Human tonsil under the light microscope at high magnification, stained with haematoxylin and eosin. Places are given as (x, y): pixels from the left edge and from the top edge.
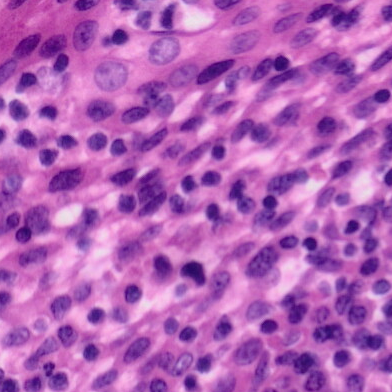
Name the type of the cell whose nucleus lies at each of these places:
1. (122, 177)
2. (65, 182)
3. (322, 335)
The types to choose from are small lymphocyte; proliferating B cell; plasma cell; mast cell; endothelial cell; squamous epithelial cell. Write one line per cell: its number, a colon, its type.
1: squamous epithelial cell
2: squamous epithelial cell
3: plasma cell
